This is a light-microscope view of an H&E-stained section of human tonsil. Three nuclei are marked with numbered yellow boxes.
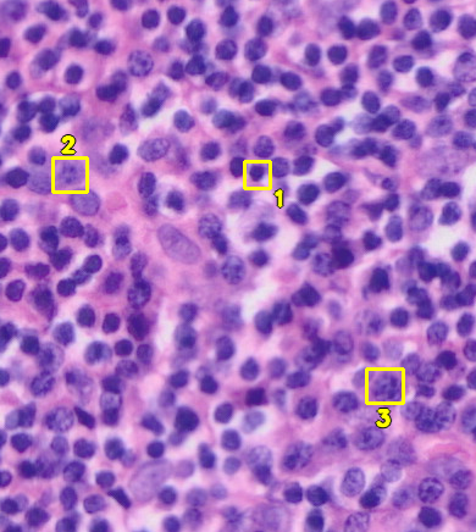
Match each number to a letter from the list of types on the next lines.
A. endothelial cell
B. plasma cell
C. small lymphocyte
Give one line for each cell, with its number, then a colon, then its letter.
1: C
2: A
3: B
